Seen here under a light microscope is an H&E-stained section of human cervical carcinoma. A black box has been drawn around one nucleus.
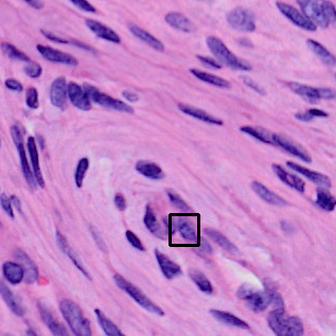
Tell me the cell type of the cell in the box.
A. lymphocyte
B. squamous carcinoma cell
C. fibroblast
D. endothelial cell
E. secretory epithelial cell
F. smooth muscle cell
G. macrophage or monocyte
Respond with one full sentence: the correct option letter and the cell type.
Option D names the cell in the box correctly as an endothelial cell.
